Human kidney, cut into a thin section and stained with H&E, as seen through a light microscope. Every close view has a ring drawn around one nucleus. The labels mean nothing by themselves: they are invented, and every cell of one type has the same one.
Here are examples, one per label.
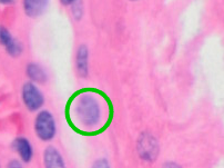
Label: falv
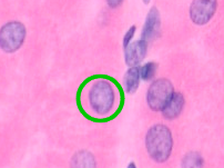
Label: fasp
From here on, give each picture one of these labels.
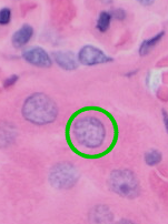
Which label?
fasp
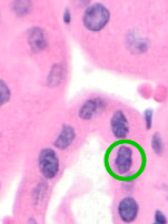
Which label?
falv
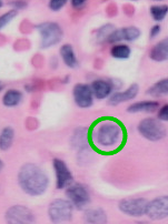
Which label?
falv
